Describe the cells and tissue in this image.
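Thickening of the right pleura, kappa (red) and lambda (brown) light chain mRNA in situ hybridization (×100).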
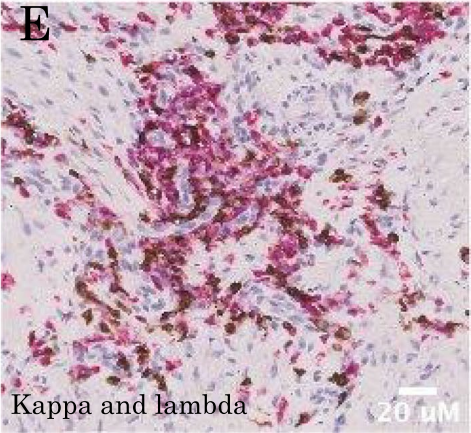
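A cellular infiltrate in pale fibrous stroma shows many round cells with cytoplasm stained either red or brown. Both colours are present, with red cells being more numerous than brown ones. The stained cells are intermingled in dense clusters, especially in the centre and upper part of the field, and they also lie scattered singly at the edges. Between the clusters are unstained spindle-shaped cells with blue elongated nuclei lying in a pale stroma.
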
